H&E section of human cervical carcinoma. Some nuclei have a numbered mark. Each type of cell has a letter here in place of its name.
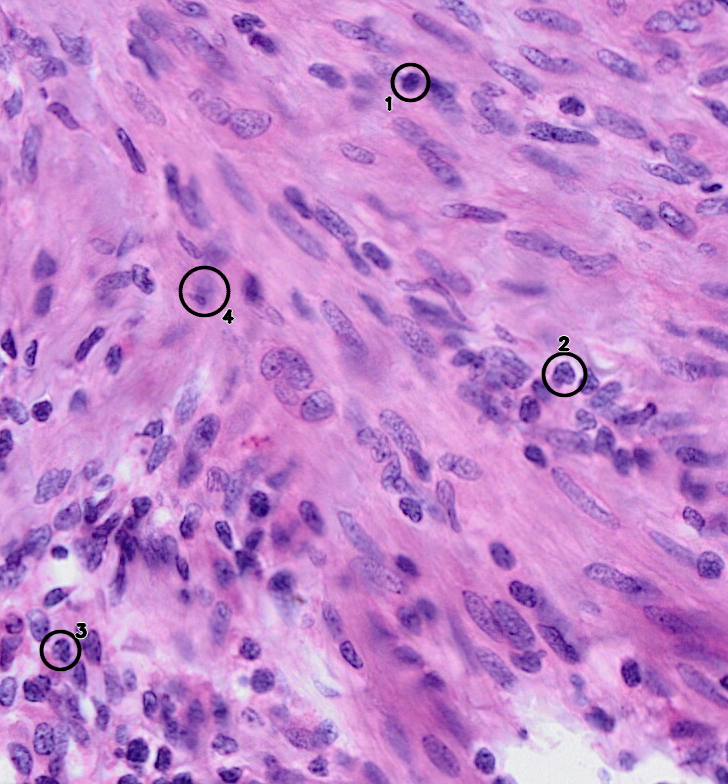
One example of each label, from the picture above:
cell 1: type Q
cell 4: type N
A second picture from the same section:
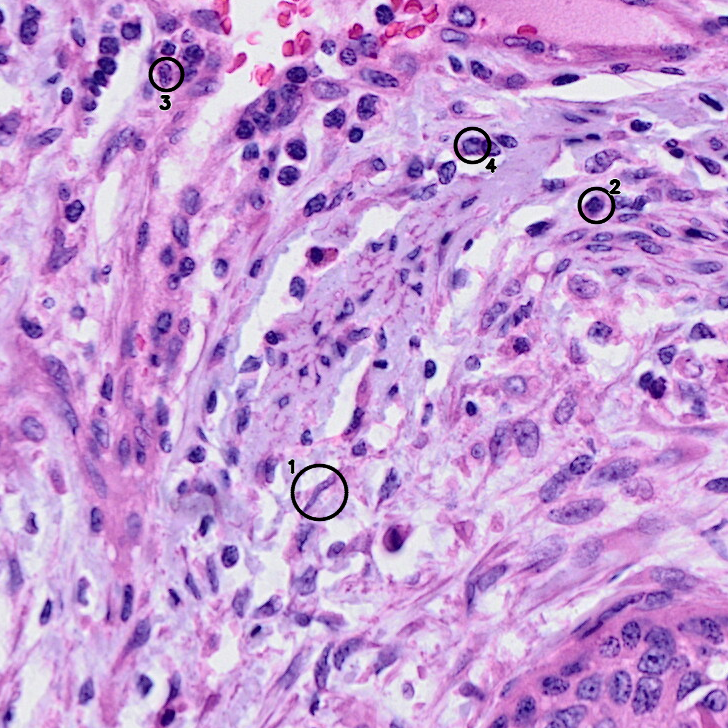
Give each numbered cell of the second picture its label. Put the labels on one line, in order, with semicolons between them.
type N; type Q; type Q; type Q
